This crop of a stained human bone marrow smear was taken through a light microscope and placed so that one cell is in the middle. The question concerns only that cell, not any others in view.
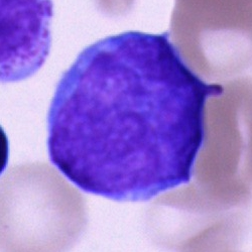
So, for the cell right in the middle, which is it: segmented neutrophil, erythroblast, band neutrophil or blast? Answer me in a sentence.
The cell positioned in the middle of the field is a blast.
